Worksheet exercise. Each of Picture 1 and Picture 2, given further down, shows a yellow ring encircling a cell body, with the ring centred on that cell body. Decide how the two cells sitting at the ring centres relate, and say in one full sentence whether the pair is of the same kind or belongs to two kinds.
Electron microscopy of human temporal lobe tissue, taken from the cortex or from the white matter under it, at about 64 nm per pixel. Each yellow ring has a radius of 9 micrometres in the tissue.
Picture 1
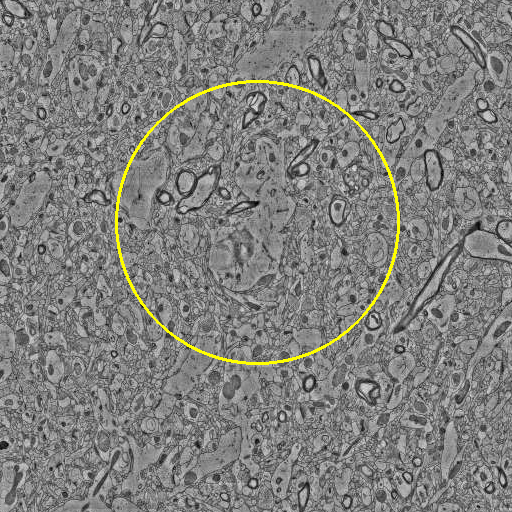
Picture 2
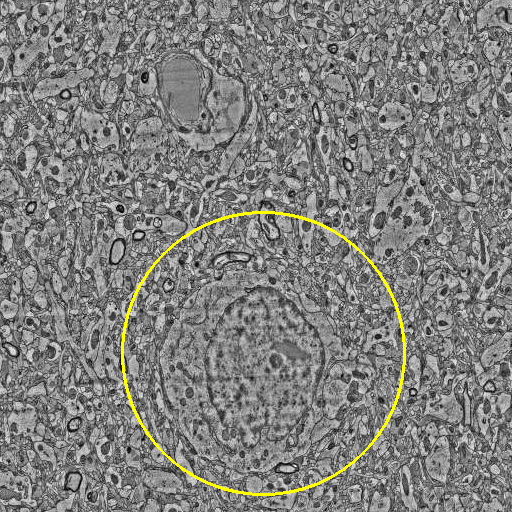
The cells at the ring centres in Picture 1 and Picture 2 belong to two kinds.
